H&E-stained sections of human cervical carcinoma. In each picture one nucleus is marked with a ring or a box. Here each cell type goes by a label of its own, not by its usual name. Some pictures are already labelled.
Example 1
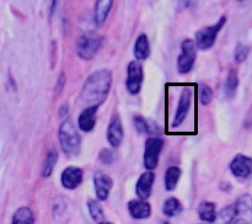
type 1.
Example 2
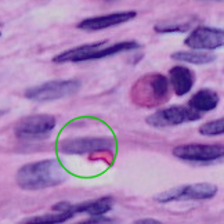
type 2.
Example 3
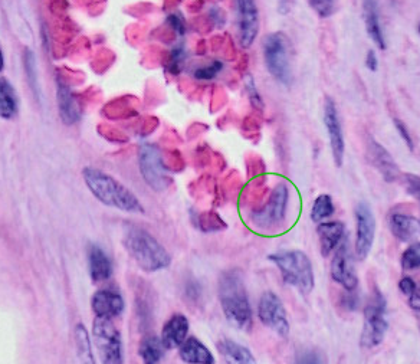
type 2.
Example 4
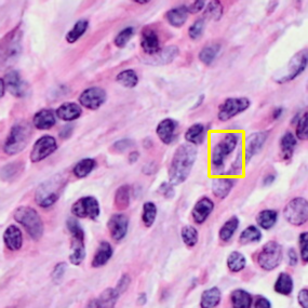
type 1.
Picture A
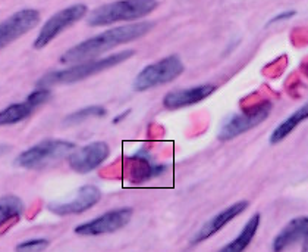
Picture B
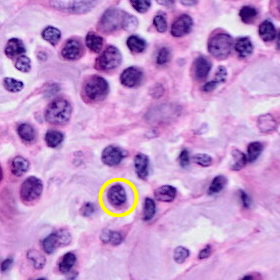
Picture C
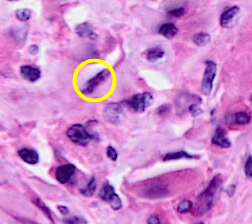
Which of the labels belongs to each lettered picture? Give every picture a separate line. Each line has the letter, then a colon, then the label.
A: type 2.
B: type 1.
C: type 2.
